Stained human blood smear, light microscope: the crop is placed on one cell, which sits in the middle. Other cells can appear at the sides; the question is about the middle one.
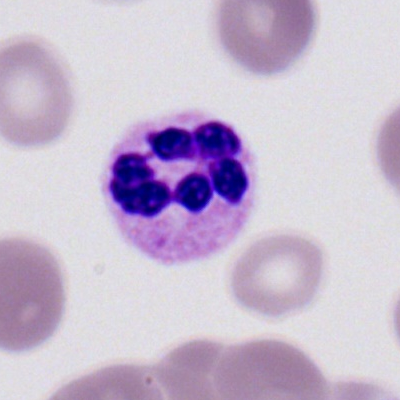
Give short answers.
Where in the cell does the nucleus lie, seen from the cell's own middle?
top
